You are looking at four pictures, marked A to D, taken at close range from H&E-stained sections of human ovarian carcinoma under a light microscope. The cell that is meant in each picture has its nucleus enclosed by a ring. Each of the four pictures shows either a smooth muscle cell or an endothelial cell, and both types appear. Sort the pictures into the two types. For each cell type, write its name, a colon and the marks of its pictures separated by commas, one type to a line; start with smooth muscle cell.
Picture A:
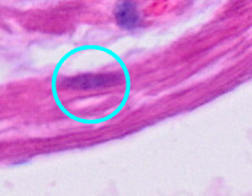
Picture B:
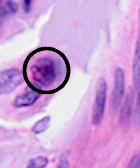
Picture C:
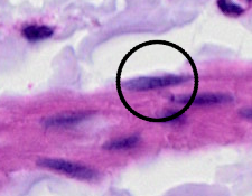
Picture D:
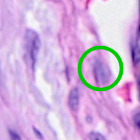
smooth muscle cell: A, C
endothelial cell: B, D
